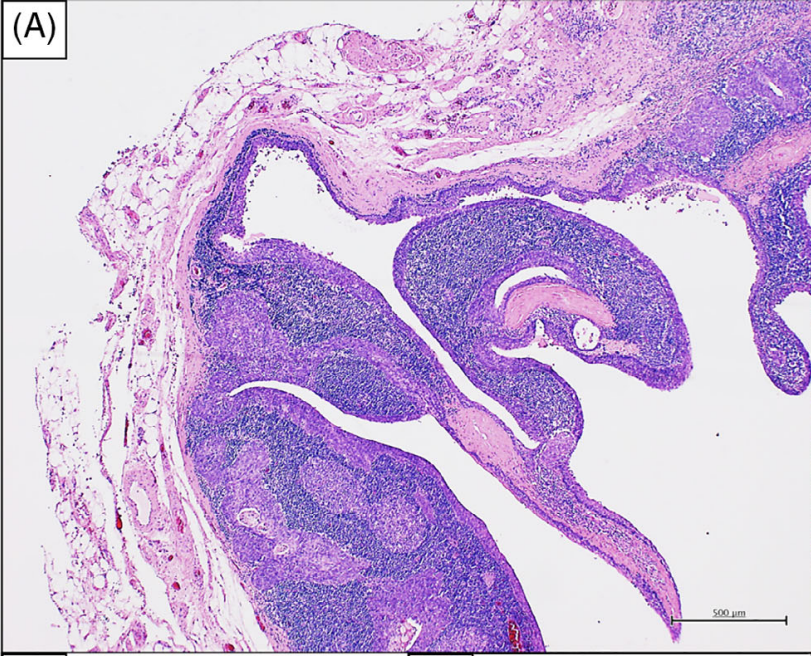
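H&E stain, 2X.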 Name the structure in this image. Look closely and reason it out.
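A large empty space runs through the tissue. The space is lined by a layered epithelium. Folds of tissue project into the space. On this evidence: cystic structure.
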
